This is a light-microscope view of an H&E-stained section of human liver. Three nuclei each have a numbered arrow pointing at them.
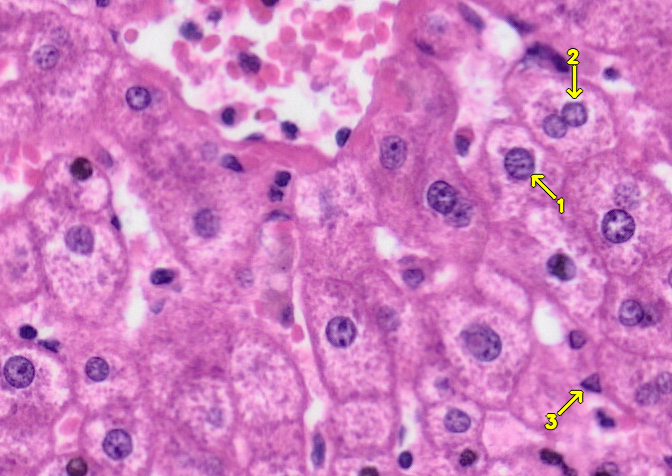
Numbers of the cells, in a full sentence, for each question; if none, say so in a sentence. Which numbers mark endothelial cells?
The numbered cell that is an endothelial cell is cell 3, and it is the only one.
